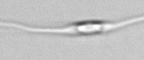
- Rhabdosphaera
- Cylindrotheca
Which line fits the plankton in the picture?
Cylindrotheca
